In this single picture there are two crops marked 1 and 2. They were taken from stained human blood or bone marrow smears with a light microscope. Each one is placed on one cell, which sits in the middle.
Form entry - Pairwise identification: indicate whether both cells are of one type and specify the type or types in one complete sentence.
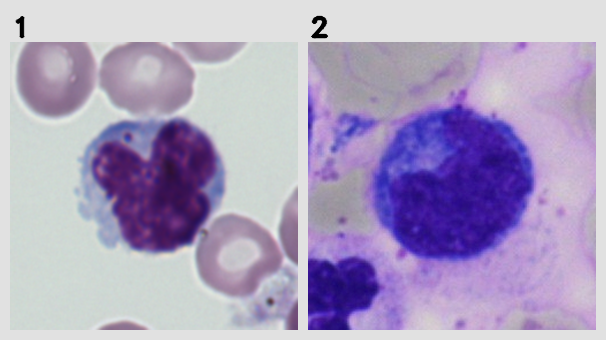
Yes, what both crops show at their centres are monocytes.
